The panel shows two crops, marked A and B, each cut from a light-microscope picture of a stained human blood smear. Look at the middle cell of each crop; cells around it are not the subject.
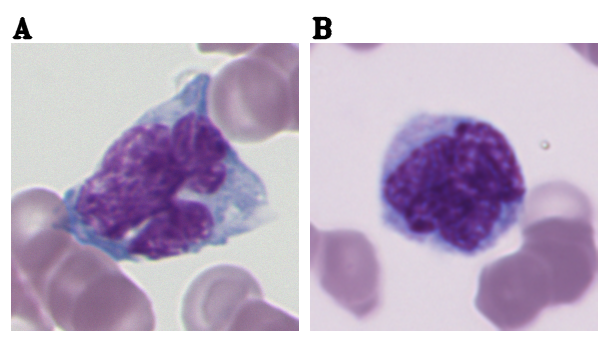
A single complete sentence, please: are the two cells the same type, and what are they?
Yes, the pair of crops both show monocytes.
